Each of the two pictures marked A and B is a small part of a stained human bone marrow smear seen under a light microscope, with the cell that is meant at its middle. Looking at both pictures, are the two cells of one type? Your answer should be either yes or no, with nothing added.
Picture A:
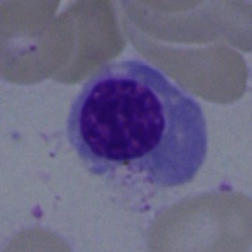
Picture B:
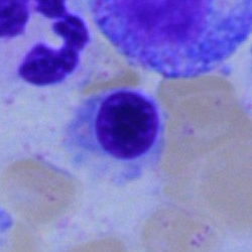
yes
